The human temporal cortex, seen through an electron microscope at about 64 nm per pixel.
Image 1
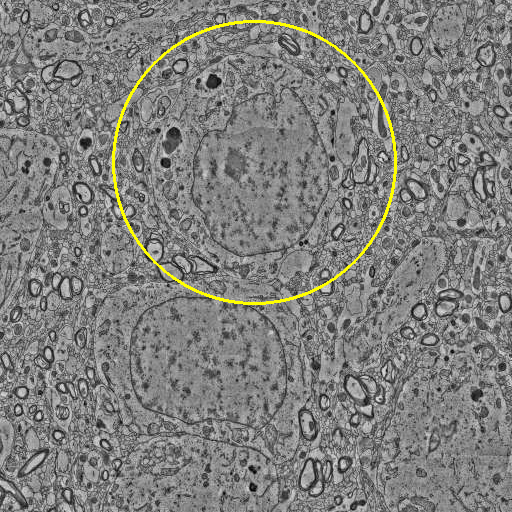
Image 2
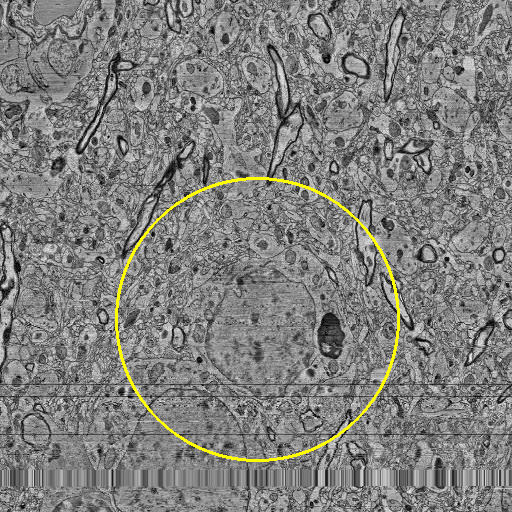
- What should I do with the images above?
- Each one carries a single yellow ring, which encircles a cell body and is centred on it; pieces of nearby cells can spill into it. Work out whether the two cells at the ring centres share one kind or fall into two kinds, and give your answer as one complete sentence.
The ring-centre cells of Image 1 and Image 2 fall into two kinds.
